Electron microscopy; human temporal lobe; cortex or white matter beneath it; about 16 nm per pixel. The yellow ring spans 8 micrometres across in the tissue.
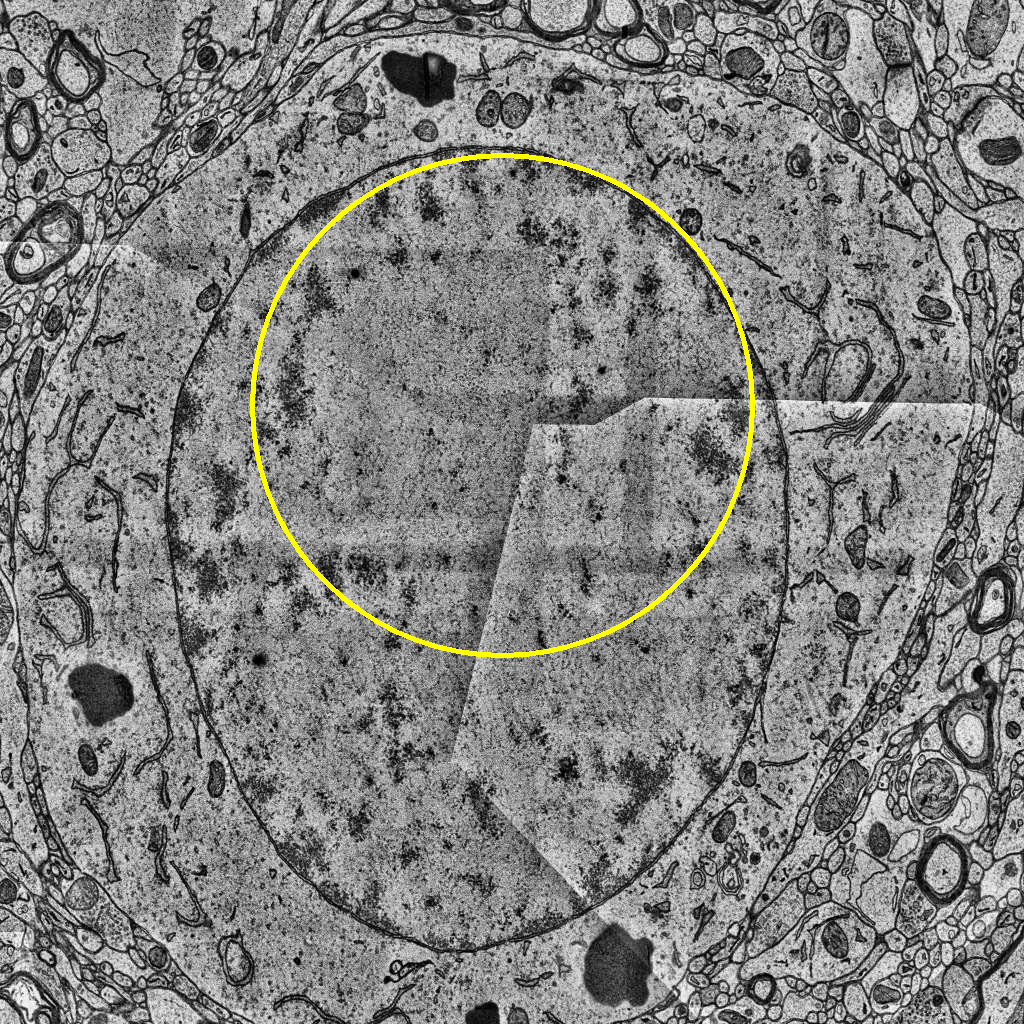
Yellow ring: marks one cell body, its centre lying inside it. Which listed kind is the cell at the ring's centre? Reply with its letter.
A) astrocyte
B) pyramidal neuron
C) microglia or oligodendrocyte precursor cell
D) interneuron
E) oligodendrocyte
B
